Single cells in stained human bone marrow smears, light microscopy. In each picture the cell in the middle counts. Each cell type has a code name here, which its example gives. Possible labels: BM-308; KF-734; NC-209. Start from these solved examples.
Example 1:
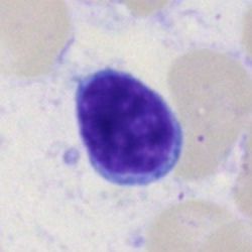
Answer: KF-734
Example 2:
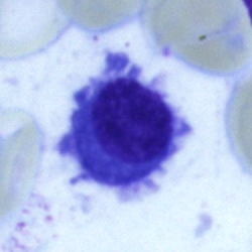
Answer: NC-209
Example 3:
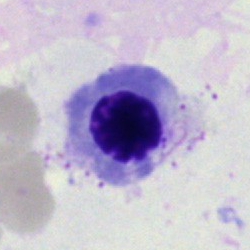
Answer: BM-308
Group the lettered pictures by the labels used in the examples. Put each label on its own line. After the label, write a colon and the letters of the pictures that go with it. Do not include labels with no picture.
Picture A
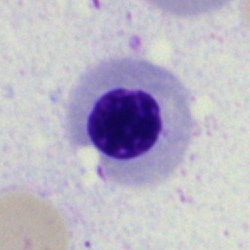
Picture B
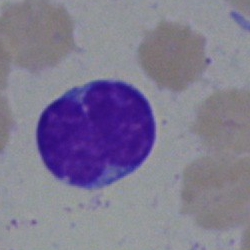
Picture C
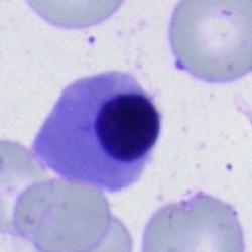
BM-308: A, C
KF-734: B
